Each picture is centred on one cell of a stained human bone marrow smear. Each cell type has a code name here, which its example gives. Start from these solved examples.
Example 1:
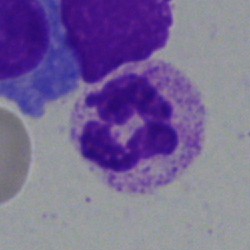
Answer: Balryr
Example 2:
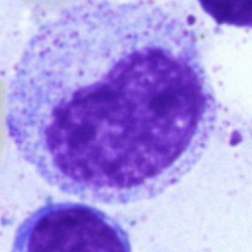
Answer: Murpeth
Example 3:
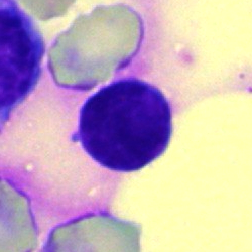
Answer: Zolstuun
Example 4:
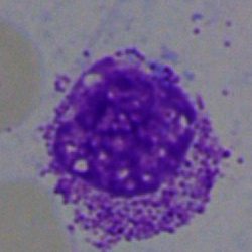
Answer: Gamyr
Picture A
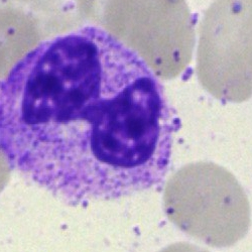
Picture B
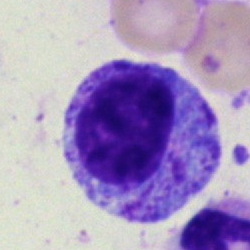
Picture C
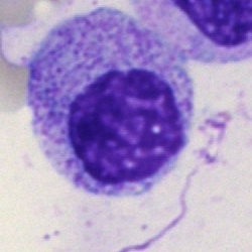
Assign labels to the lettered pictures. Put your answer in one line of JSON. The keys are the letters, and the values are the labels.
{"A": "Balryr", "B": "Gamyr", "C": "Gamyr"}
